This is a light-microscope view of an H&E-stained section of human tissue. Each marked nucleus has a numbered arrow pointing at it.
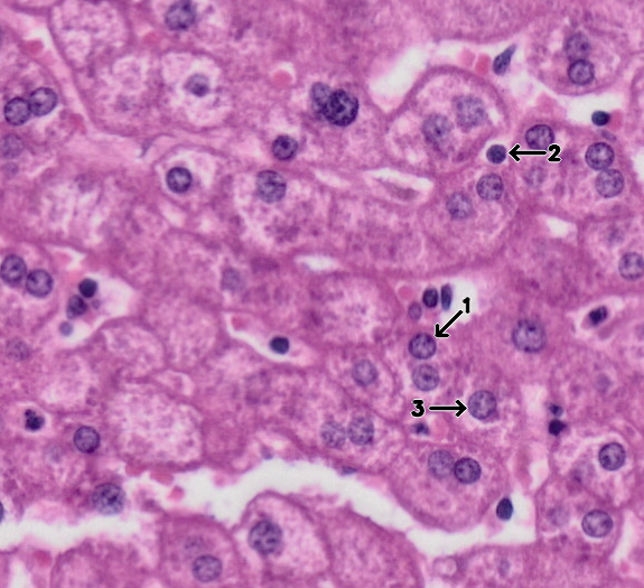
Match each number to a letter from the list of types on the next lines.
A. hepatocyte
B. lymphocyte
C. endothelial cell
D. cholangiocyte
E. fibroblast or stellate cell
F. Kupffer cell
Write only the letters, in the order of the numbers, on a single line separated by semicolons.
A; B; A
